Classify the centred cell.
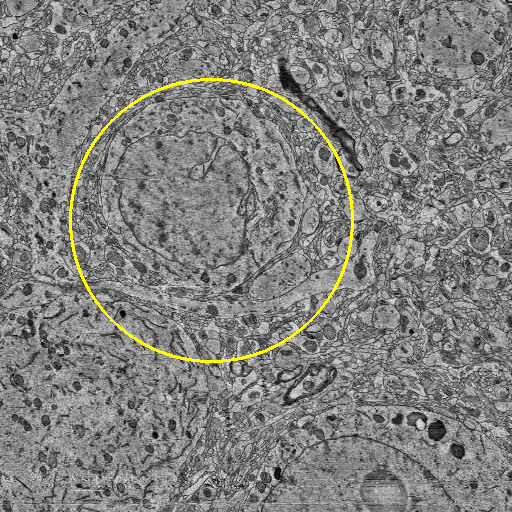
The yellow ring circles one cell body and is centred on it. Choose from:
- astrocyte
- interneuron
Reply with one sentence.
The ring is centred on an interneuron.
